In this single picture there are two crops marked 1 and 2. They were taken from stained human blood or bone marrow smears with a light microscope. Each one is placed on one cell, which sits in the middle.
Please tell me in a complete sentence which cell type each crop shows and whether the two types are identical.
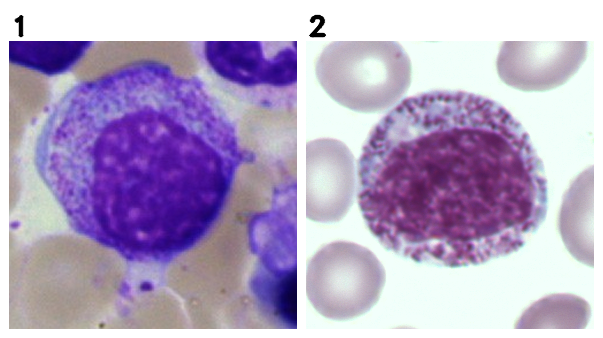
Yes, the cells that both crops show at the centre are myelocytes.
